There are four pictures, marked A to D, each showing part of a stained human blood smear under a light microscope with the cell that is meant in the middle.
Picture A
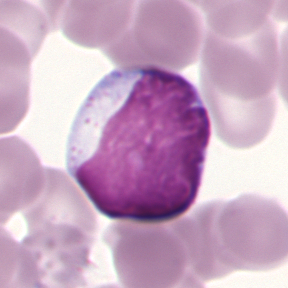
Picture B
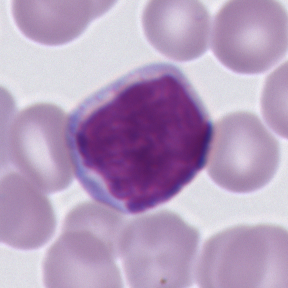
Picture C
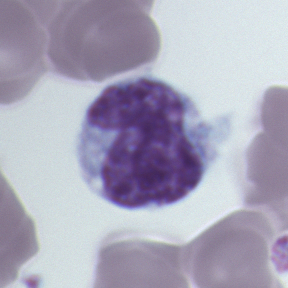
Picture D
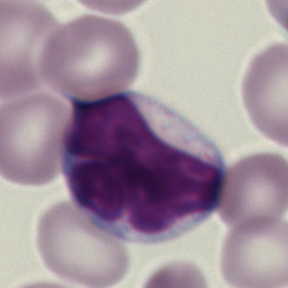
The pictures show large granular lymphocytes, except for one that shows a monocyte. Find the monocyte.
C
